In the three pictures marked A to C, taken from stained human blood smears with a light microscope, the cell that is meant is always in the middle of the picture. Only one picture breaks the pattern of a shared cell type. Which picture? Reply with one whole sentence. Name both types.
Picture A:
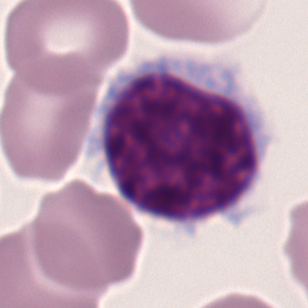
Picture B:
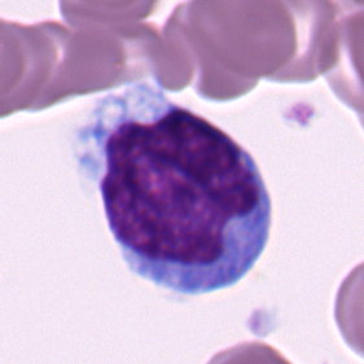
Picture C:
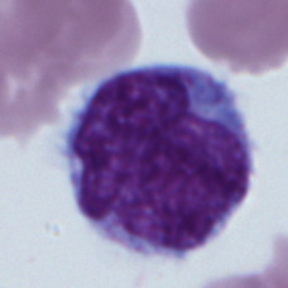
Picture A differs, because its cell is a hairy cell and the rest are monocytes.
